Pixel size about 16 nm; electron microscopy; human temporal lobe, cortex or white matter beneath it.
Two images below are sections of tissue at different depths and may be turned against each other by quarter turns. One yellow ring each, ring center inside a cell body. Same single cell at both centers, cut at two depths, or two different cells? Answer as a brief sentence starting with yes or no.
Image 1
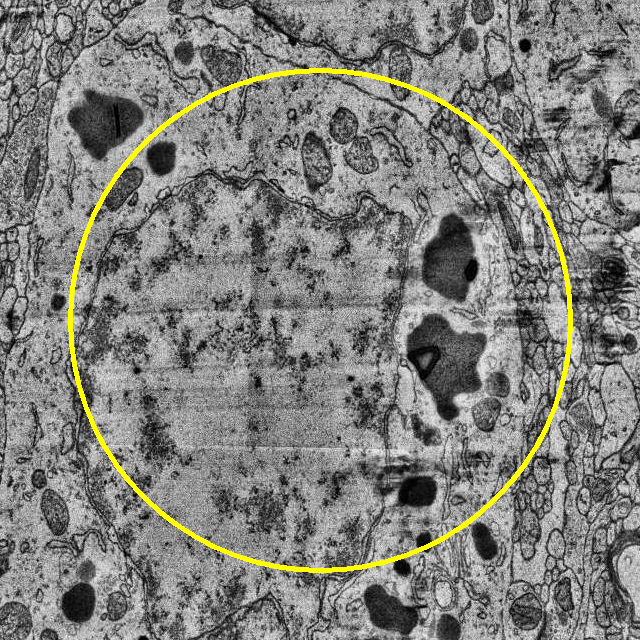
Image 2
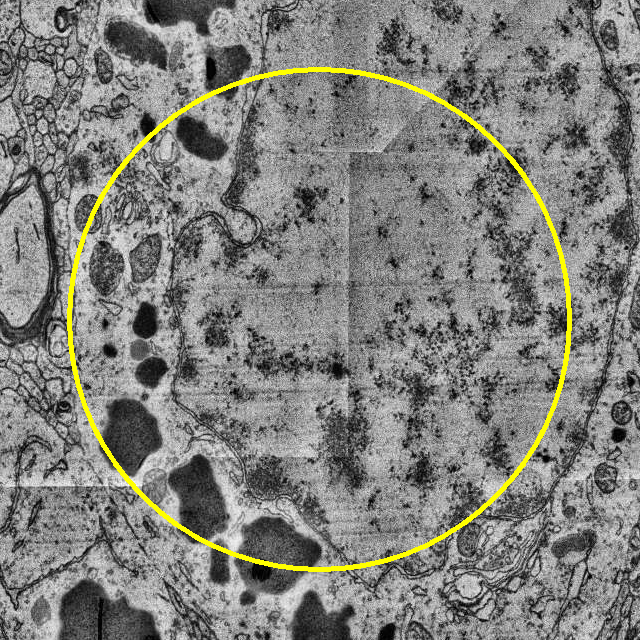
Yes, the same cell appears within both yellow rings.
